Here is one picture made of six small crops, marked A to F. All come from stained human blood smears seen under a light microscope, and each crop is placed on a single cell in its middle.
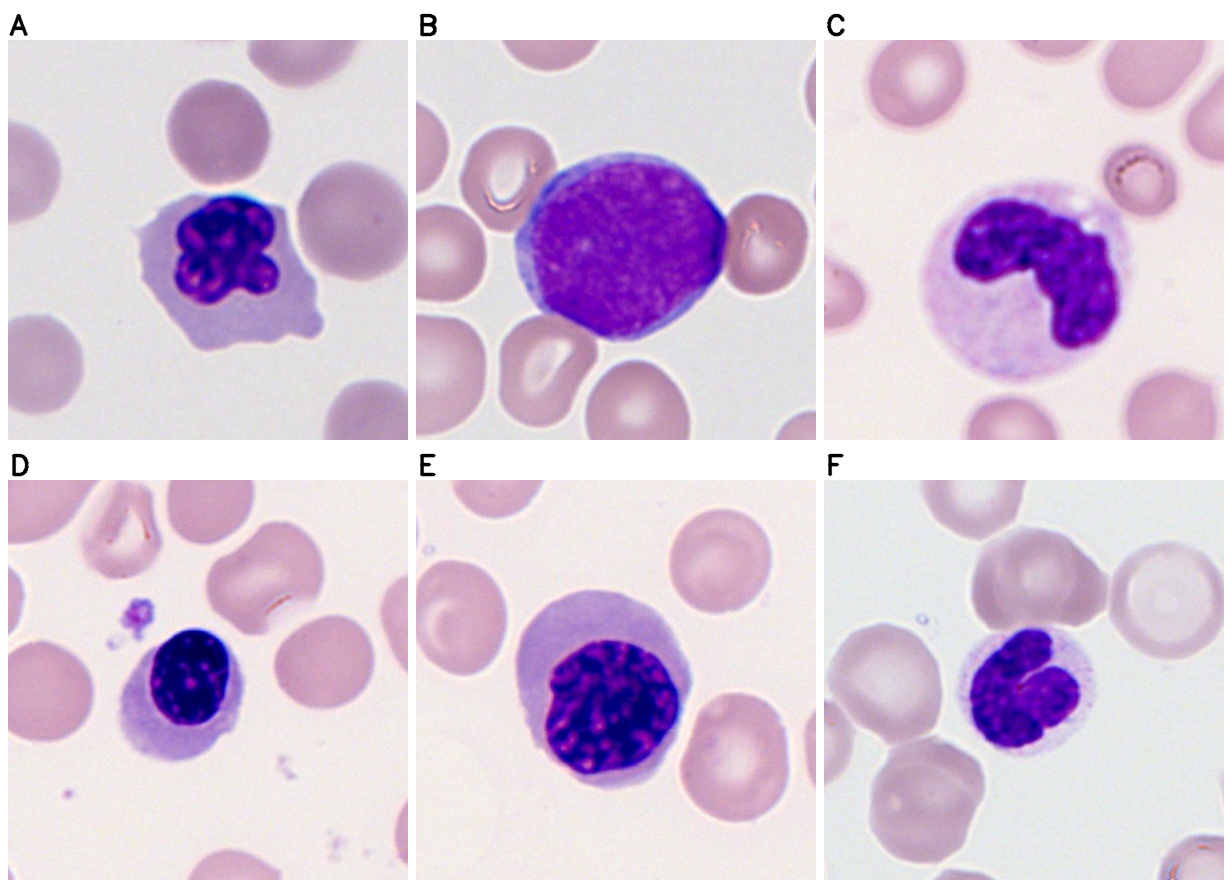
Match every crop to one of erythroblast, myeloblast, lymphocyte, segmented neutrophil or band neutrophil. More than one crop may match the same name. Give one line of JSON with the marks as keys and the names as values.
{"A": "erythroblast", "B": "myeloblast", "C": "band neutrophil", "D": "erythroblast", "E": "erythroblast", "F": "segmented neutrophil"}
